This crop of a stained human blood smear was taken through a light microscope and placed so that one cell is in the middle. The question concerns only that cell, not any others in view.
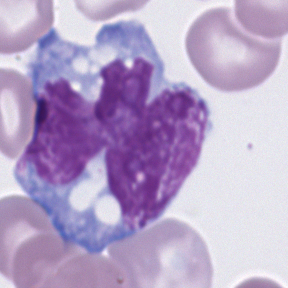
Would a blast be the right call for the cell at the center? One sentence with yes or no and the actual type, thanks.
No, the central cell is designated a monocyte and not a blast.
